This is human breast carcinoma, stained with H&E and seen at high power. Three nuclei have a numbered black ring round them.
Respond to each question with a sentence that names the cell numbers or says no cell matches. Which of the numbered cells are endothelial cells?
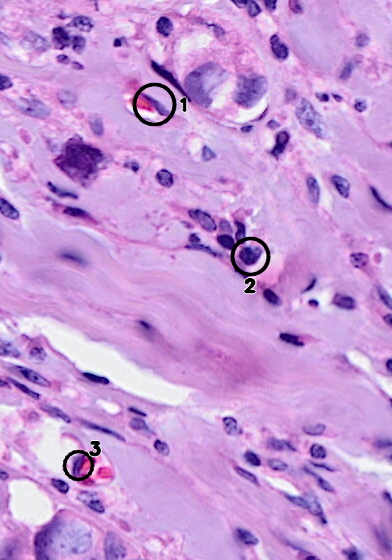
Within the section, cells numbered 1 and 3 are endothelial cells.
